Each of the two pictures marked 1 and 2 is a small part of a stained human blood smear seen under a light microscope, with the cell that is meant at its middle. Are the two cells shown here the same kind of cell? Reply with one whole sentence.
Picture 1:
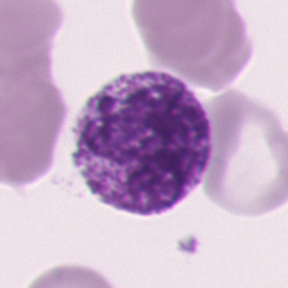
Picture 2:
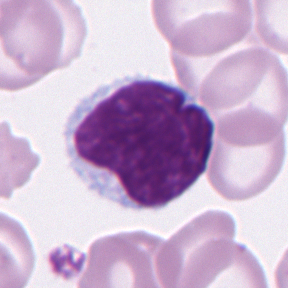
No, the types are not the same, since picture 1 shows a basophil and picture 2 a typical lymphocyte.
